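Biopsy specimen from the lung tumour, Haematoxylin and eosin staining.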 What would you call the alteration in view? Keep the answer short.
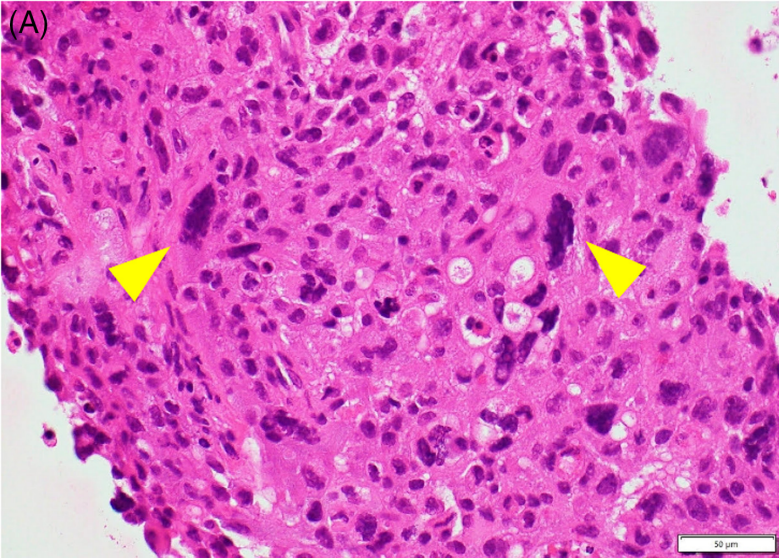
Atypical epithelial cells.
